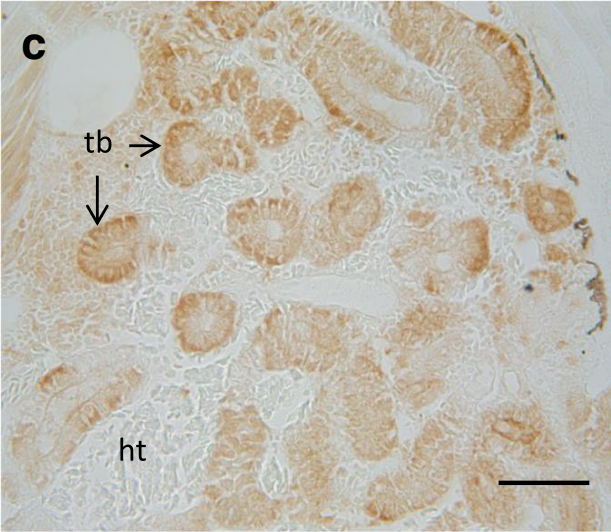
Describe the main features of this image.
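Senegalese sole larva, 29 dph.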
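The tubules are made of columnar cells arranged radially around a narrow central lumen, and their cytoplasm is stained brown. Between them lie loosely packed, small, pale cells with little stain.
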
